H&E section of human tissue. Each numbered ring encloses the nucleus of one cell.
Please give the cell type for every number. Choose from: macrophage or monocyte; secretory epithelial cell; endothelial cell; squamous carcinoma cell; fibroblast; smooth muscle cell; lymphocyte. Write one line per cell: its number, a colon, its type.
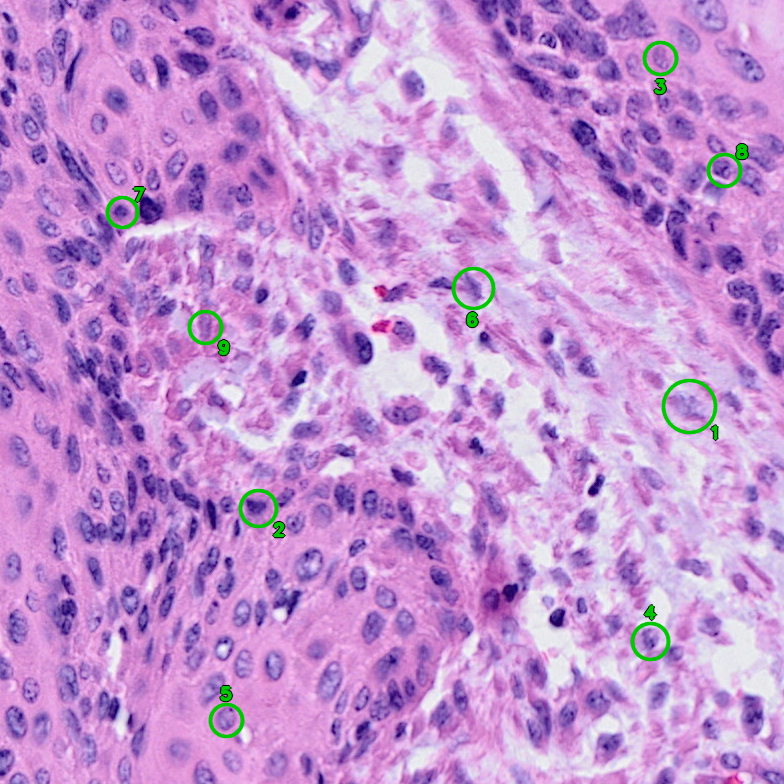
1: fibroblast
2: squamous carcinoma cell
3: squamous carcinoma cell
4: fibroblast
5: squamous carcinoma cell
6: fibroblast
7: squamous carcinoma cell
8: squamous carcinoma cell
9: fibroblast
